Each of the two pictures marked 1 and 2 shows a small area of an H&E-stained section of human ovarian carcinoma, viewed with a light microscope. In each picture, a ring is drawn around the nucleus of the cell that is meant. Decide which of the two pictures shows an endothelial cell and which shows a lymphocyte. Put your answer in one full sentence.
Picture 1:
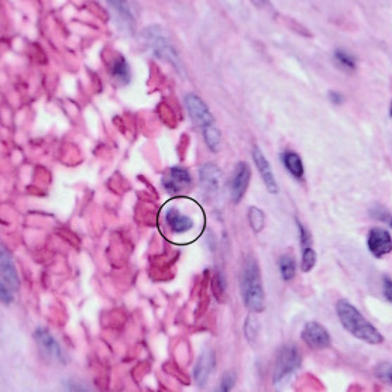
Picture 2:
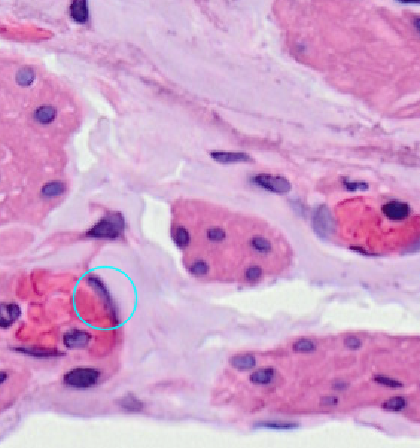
Picture 1 shows a lymphocyte and picture 2 shows an endothelial cell.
